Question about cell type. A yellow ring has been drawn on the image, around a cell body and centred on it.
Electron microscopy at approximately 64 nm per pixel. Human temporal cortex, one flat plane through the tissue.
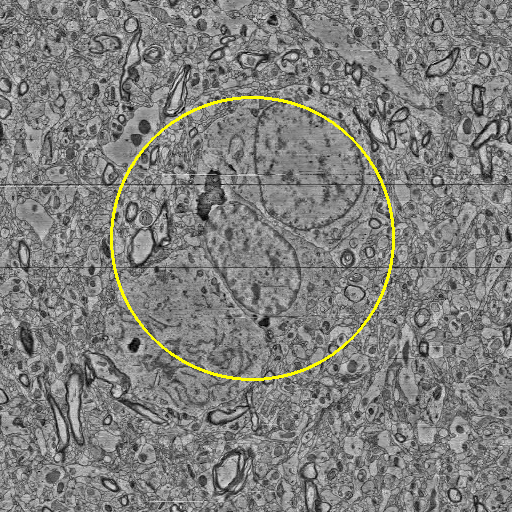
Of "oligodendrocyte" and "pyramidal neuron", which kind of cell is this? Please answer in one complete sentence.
At the centre of the ring lies an oligodendrocyte.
